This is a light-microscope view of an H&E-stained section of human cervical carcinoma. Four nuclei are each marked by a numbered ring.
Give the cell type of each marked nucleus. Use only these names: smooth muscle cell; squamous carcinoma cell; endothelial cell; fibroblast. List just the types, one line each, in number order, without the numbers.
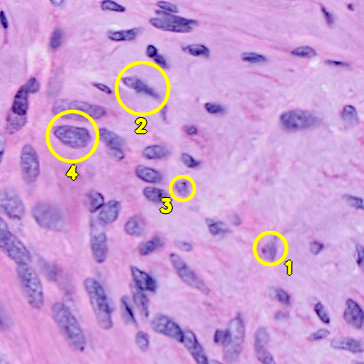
smooth muscle cell
fibroblast
smooth muscle cell
smooth muscle cell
